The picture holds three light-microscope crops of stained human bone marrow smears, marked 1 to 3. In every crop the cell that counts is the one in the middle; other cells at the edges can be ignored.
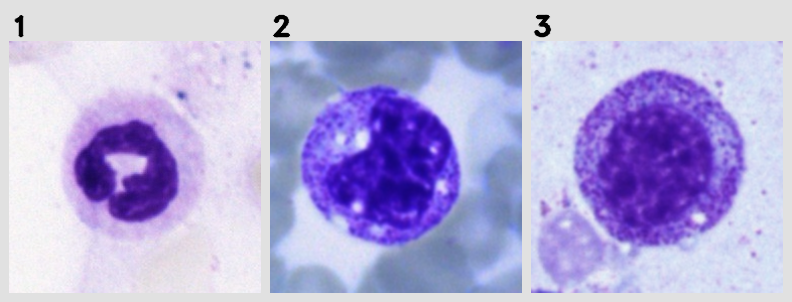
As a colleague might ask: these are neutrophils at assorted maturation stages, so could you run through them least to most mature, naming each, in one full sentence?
Ordering the crops by maturity, least first, gives crop 3 (a myelocyte), crop 2 (a metamyelocyte) and crop 1 (a segmented neutrophil).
